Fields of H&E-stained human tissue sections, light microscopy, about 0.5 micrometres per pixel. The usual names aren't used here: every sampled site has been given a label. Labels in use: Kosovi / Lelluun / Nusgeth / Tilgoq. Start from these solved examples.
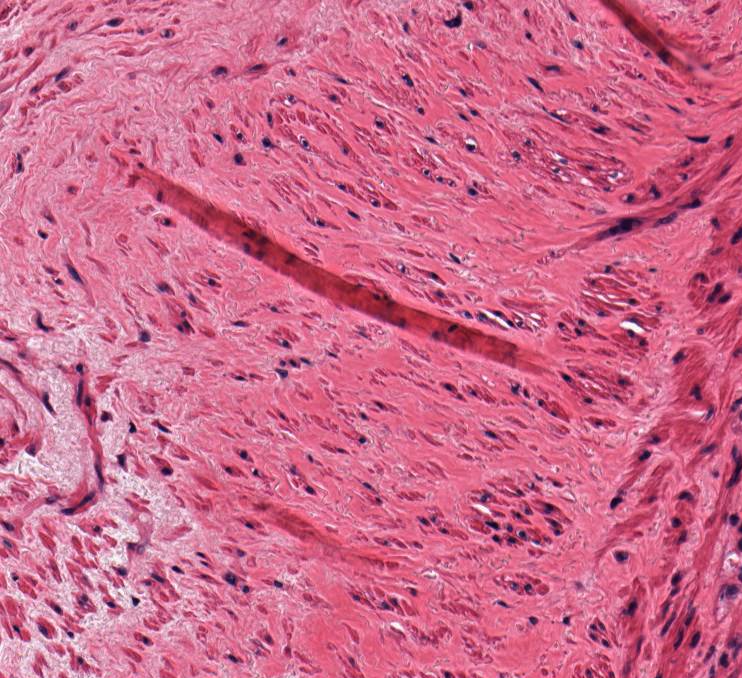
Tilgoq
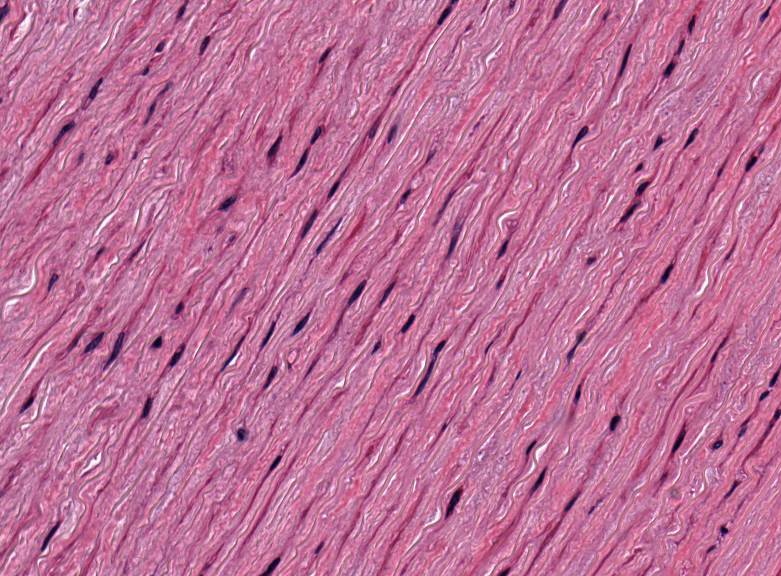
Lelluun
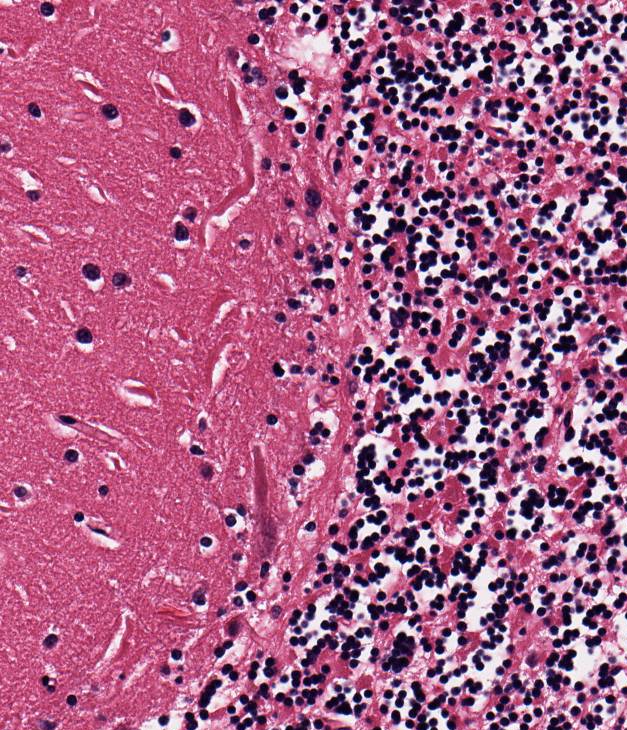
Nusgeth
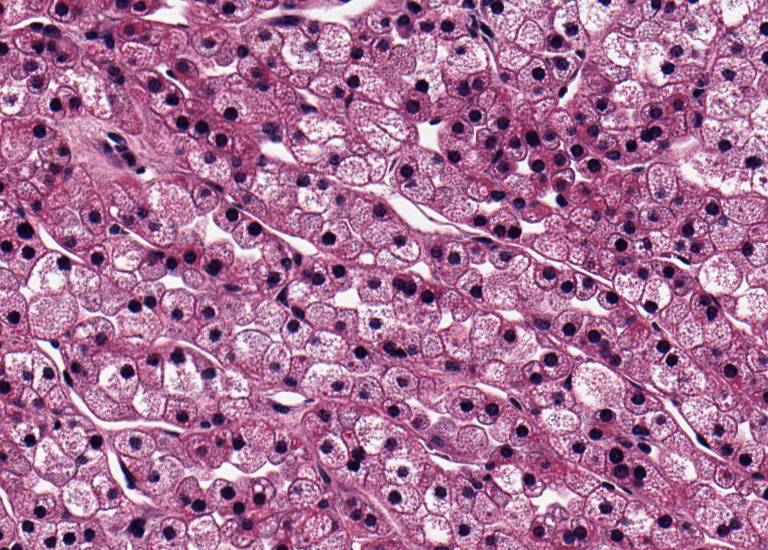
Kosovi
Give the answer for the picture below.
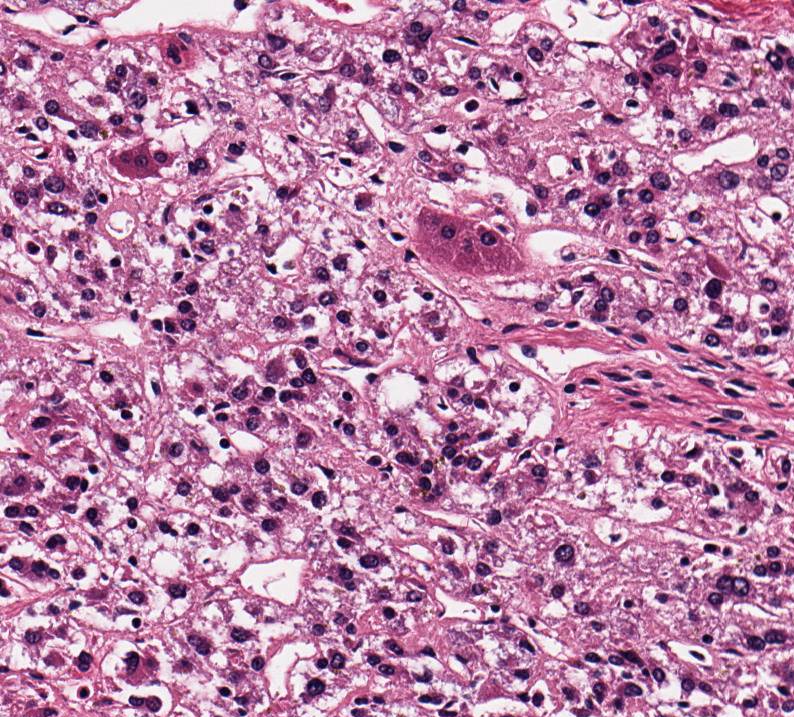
Kosovi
